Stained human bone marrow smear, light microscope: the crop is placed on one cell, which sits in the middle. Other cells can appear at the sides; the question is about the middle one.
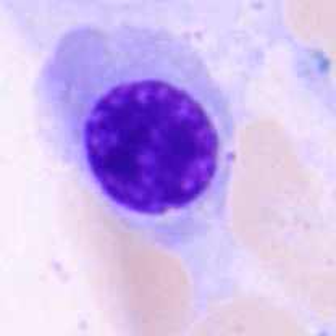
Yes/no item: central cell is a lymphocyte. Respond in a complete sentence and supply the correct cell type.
No, the one in the center is not a lymphocyte; it is a normoblast.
